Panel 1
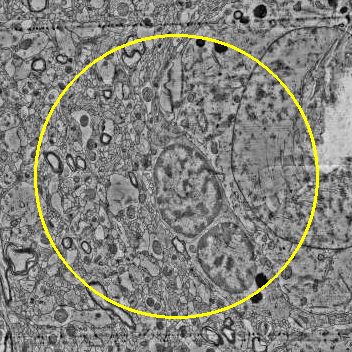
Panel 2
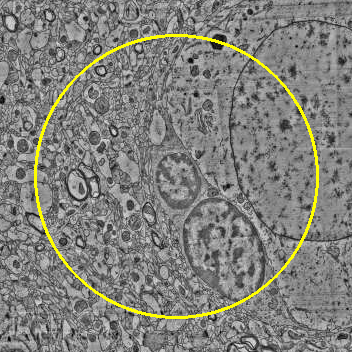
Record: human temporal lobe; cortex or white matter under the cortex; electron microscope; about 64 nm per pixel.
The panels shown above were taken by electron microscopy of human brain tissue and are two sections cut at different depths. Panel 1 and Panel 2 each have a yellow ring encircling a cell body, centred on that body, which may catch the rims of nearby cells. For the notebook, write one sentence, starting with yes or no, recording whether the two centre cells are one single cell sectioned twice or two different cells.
Yes, one cell accounts for both of the yellow rings.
